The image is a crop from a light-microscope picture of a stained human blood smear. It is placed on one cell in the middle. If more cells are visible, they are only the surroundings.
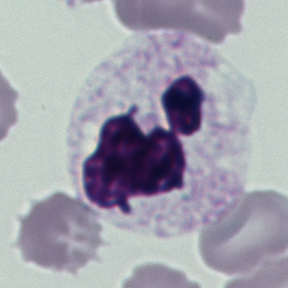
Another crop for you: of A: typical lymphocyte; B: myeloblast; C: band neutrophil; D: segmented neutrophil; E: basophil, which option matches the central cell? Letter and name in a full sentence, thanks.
The correct option, D, names the middle cell as a segmented neutrophil.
